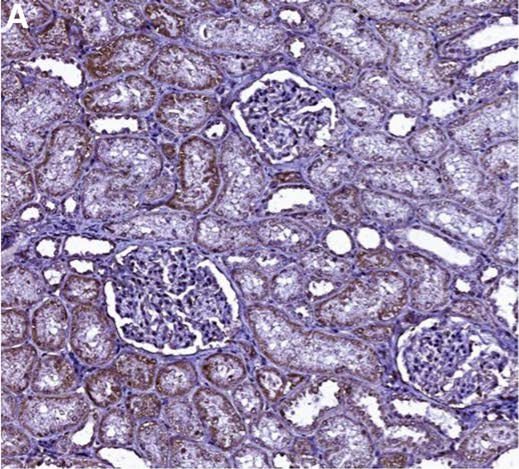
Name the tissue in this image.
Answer: kidney tissue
